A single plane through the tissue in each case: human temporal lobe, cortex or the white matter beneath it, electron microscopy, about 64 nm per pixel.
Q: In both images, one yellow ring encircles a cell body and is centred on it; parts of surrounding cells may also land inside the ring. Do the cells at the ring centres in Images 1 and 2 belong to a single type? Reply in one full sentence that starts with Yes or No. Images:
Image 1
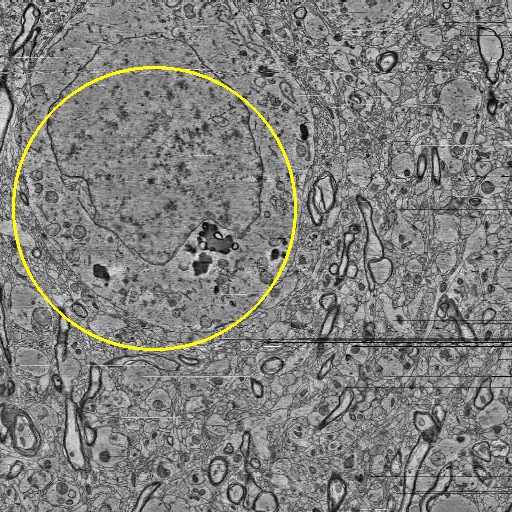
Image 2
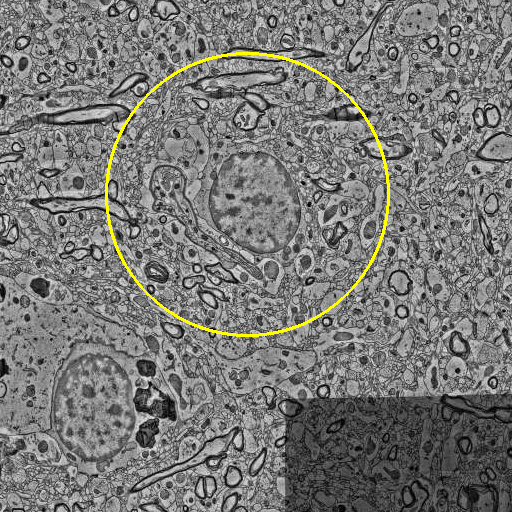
No, the cells at the ring centres in Images 1 and 2 are of two types.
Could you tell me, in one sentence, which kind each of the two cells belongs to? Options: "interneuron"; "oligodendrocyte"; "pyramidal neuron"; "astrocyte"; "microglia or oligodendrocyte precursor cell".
At the centre of the first ring sits a pyramidal neuron, and at the centre of the second sits an oligodendrocyte.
